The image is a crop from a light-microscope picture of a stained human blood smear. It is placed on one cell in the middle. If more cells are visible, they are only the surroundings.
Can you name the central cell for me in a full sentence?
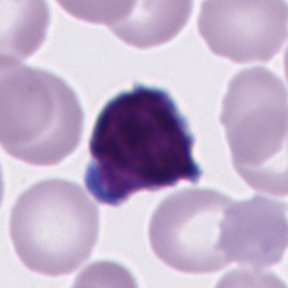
In this smear crop, the middle cell is a lymphocyte.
